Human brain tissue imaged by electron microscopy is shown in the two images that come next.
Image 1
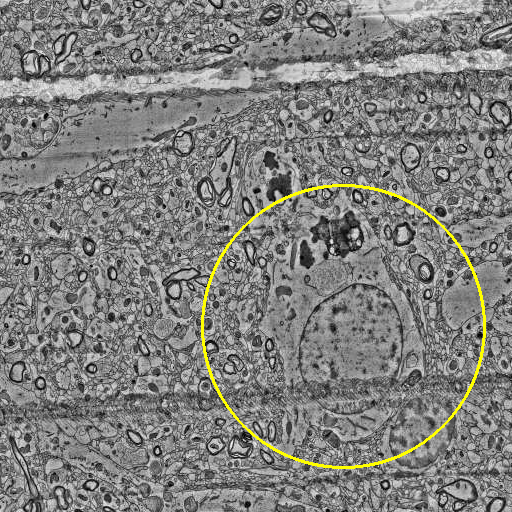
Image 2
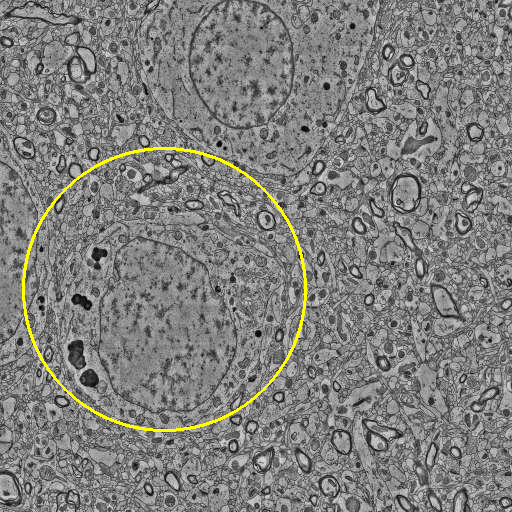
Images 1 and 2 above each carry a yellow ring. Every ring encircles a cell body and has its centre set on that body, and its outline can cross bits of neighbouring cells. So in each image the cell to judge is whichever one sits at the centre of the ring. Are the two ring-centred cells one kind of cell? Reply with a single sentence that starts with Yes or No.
No, in Image 1 and Image 2 the cells at the centres of their rings fall into two types.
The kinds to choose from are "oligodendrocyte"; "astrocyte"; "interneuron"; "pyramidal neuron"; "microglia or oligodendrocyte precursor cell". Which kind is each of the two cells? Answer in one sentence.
Of the two, the first cell is an astrocyte and the second cell is a pyramidal neuron.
